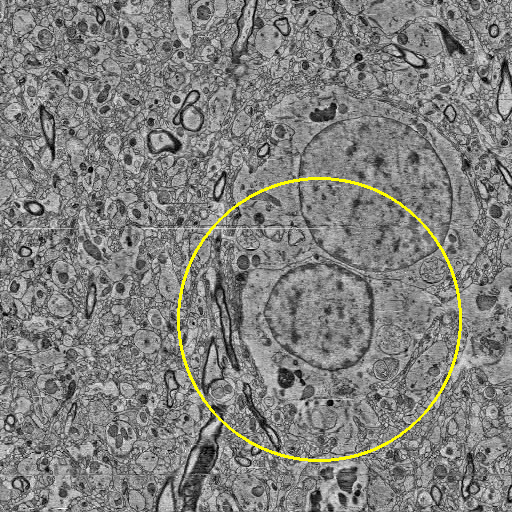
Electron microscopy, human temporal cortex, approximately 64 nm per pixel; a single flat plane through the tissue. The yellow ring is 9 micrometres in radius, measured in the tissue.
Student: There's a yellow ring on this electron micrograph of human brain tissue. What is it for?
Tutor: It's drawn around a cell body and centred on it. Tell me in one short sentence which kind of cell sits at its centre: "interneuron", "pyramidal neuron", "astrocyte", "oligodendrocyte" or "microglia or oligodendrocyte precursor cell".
The cell at the centre of the ring is an astrocyte.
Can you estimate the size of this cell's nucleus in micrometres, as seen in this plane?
Roughly 7 micrometers across, in this plane.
